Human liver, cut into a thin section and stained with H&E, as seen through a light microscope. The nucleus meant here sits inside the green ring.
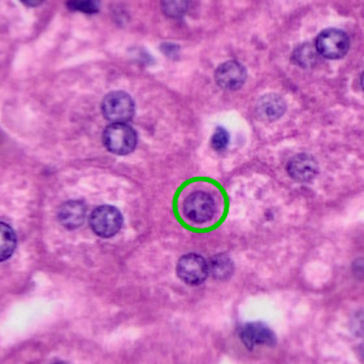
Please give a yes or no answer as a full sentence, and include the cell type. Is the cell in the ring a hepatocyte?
Yes, the cell in the ring in this field is a hepatocyte.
